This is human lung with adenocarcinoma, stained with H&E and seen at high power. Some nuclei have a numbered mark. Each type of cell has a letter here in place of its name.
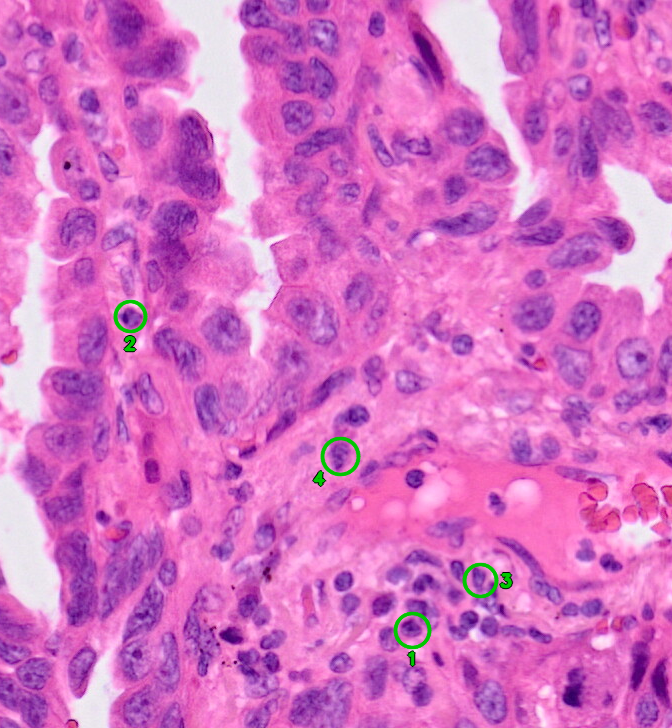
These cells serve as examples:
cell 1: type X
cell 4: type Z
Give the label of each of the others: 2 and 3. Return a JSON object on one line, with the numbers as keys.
{"2": "type X", "3": "type X"}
